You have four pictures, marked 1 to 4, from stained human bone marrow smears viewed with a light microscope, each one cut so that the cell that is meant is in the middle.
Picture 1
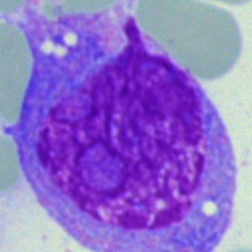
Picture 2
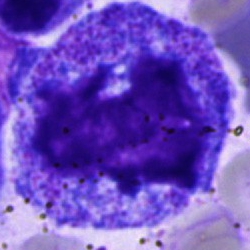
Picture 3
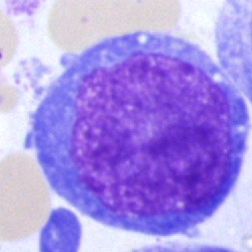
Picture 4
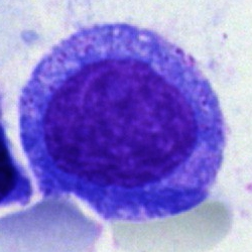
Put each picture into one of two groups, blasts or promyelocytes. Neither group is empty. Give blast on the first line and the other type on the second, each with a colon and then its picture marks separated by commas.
blast: 1, 3, 4
promyelocyte: 2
